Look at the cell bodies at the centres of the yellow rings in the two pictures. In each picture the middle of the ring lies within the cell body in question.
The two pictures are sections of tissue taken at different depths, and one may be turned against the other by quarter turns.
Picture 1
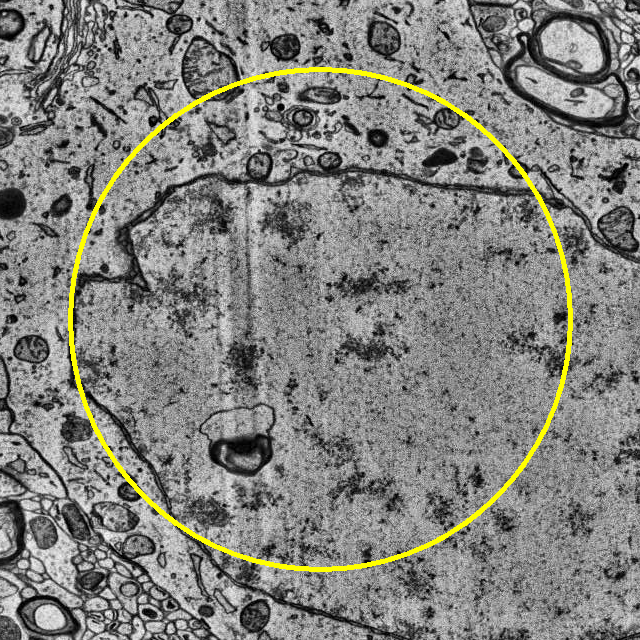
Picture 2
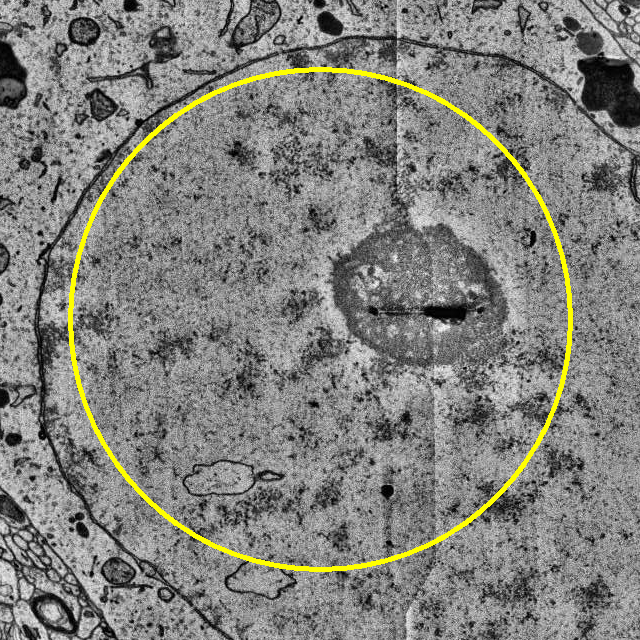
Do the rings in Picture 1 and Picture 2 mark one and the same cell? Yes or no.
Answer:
yes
